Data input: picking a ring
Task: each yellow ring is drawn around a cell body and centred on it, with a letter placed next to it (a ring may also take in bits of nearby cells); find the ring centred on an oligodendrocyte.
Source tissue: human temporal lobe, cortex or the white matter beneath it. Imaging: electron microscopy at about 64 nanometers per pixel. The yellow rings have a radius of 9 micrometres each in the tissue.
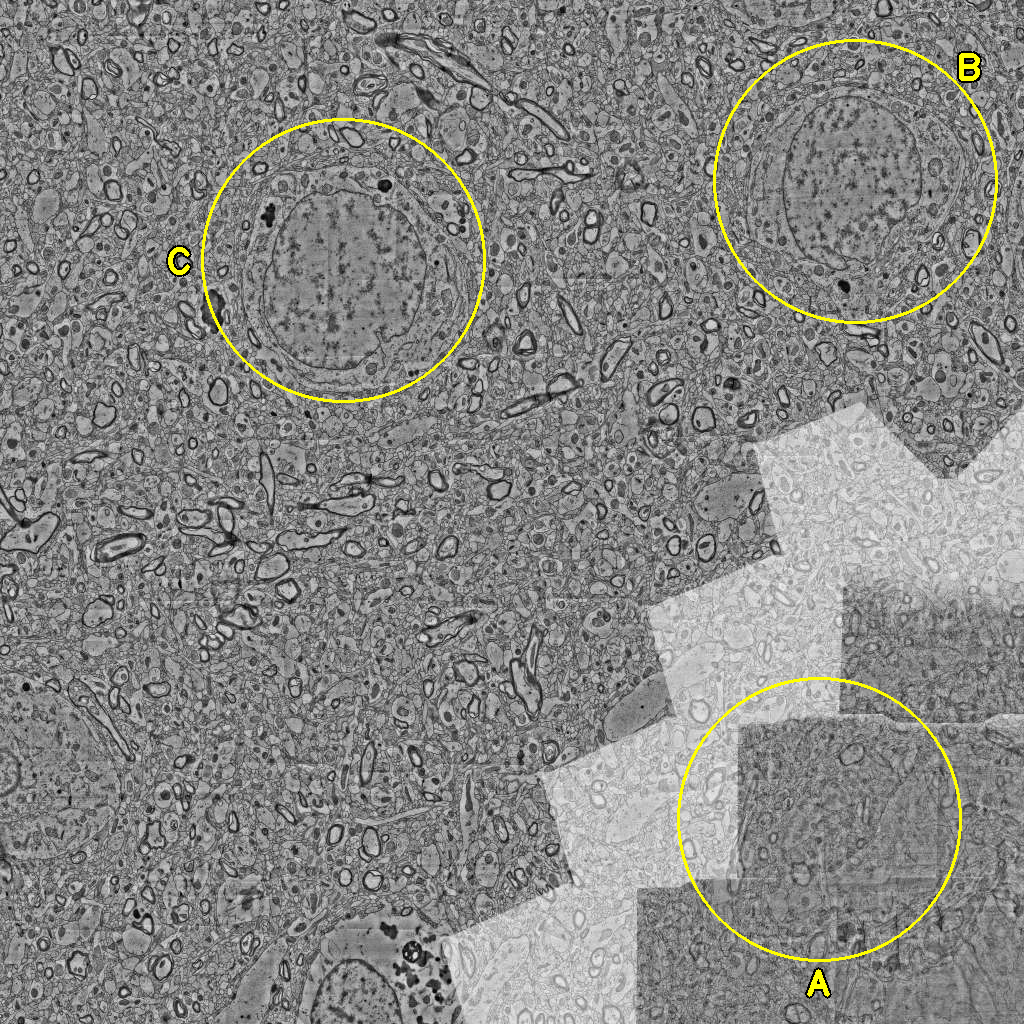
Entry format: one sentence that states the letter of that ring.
In the picture, the cell asked for sits at the centre of ring A.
